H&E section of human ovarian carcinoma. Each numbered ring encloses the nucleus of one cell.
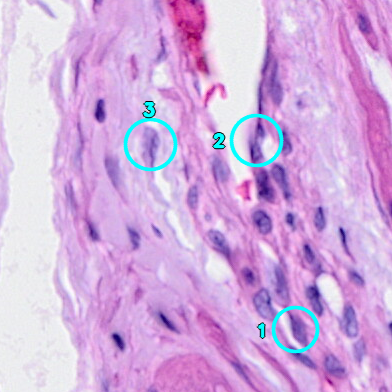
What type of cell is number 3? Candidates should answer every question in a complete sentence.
The identity of cell 3 is that of a fibroblast.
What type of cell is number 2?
The correct answer for cell 2 is an endothelial cell.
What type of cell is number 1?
The cell numbered 1 represents an endothelial cell.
